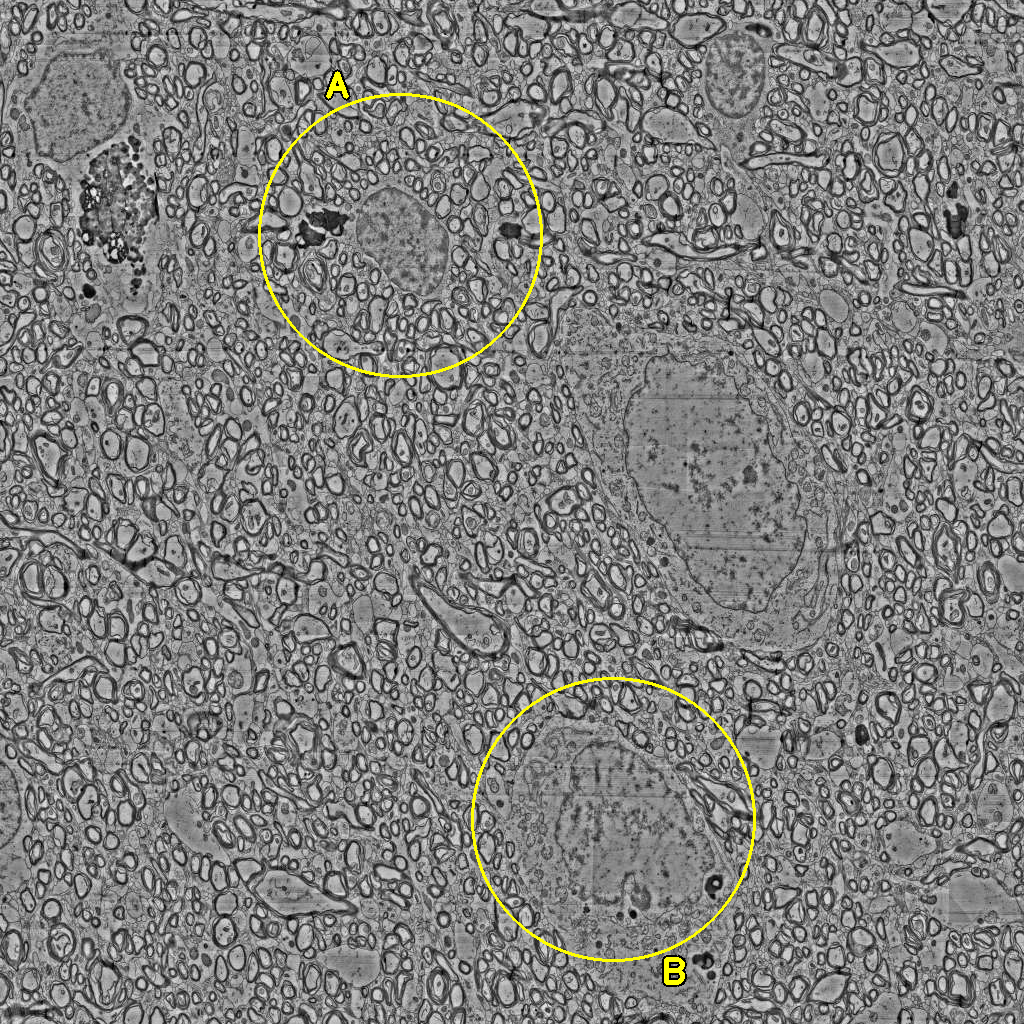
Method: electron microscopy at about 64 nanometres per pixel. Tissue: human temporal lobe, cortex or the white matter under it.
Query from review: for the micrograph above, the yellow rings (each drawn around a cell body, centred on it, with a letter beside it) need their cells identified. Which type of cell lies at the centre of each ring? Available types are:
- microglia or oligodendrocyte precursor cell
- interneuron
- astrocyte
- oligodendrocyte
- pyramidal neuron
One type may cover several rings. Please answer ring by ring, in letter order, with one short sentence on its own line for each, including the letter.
Ring A is drawn around an oligodendrocyte.
Ring B is drawn around an interneuron.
